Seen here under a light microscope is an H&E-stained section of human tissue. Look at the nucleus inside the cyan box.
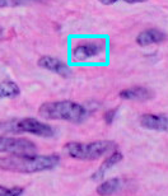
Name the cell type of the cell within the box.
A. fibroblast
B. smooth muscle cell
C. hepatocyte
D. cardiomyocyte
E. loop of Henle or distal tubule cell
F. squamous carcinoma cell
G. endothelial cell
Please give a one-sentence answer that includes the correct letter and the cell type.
Looking at the options, pick B; the cell within the box is a smooth muscle cell.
